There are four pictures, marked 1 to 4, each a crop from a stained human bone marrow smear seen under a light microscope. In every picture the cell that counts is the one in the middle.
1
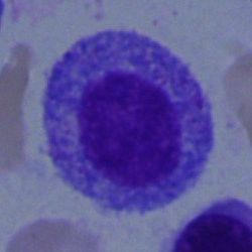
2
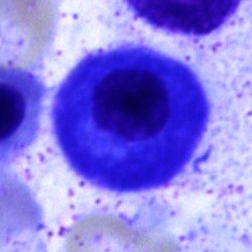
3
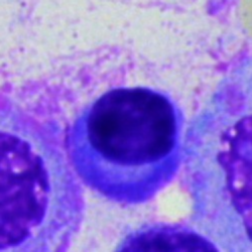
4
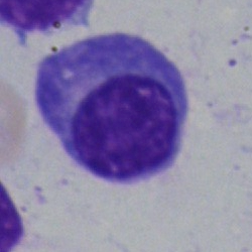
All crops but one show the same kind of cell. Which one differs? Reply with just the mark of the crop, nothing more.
1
